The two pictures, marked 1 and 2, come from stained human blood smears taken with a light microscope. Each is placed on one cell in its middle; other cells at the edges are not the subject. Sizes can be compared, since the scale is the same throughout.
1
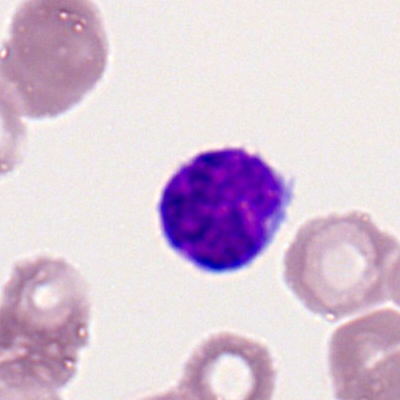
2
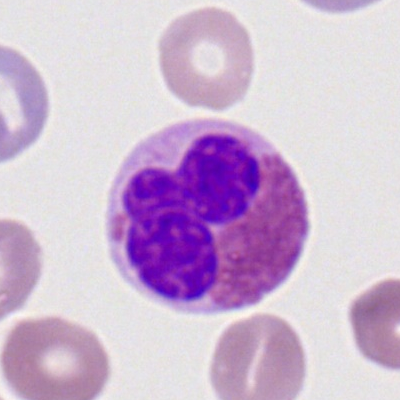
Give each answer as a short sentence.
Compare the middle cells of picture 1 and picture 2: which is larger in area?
Larger is the cell in picture 2, at roughly 2 times the area of the other.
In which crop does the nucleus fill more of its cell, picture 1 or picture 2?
Of the two, the nucleus in picture 1 makes up the greater part of its cell.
